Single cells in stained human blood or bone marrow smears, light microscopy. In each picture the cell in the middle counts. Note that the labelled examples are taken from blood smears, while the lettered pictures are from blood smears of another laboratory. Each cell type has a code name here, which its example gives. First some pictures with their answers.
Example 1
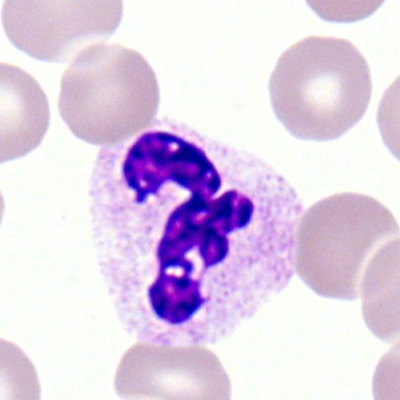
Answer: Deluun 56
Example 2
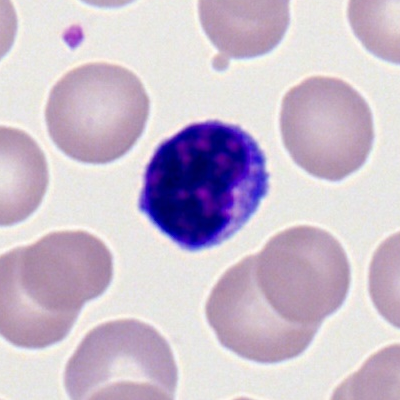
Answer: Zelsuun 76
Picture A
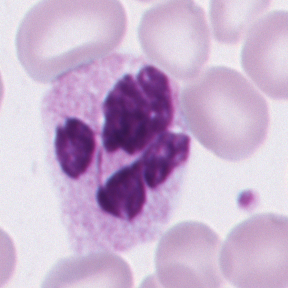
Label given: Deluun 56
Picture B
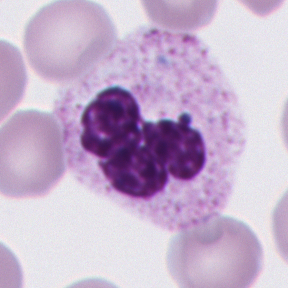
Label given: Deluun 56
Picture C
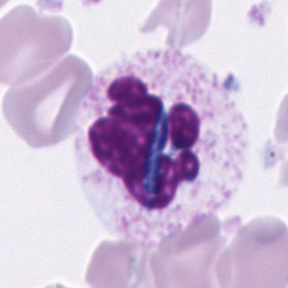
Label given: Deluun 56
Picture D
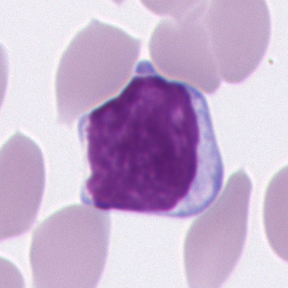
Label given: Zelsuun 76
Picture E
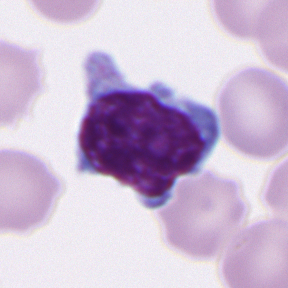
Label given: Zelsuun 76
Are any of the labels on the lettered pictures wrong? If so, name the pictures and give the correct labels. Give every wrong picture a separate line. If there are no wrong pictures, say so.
Nothing to fix; every label fits.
